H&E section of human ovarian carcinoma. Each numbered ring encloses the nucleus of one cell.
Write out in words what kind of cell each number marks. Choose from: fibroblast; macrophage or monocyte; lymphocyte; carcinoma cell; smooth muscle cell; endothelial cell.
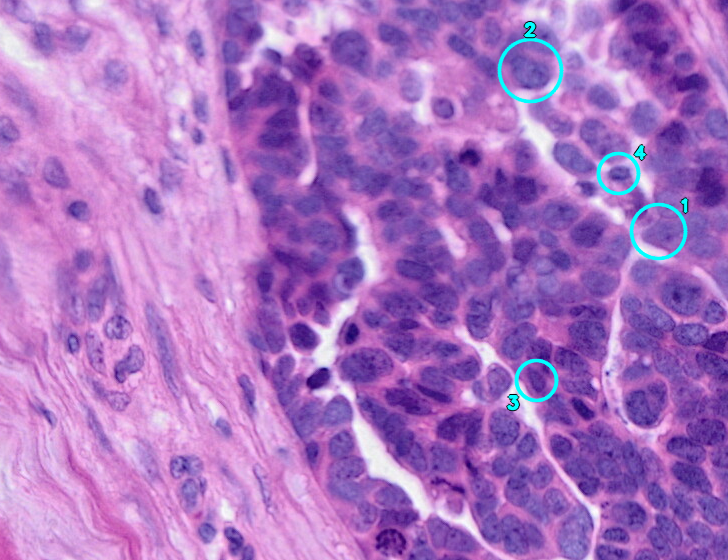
Cell 1 is a carcinoma cell, cell 2 is a carcinoma cell, cell 3 is a carcinoma cell and cell 4 is a macrophage or monocyte.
